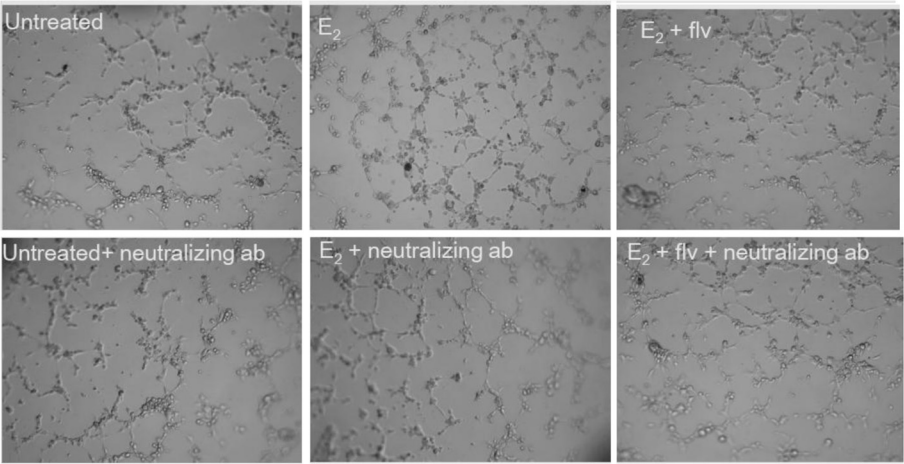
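Unstained endothelial cells on a gel matrix have arranged themselves into a capillary-like network in every field. Elongated cells line up end to end in thin cords that branch and join, enclosing open rounded or polygonal spaces. Small clusters of rounded refractile cells gather at the branch points, and a few loose single cells lie scattered between the cords.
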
